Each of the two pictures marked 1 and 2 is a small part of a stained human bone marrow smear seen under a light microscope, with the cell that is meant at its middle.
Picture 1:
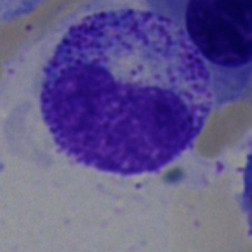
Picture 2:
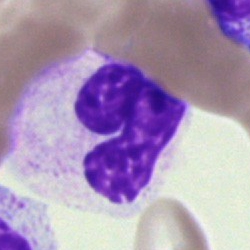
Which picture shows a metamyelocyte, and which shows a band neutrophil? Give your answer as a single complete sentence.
In picture 1 the cell is a metamyelocyte; in picture 2, a band neutrophil.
